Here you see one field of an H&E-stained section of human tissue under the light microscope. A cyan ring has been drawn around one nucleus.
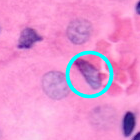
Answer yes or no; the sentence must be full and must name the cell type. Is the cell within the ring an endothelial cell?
Yes, to name the cell within the ring an endothelial cell is correct.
